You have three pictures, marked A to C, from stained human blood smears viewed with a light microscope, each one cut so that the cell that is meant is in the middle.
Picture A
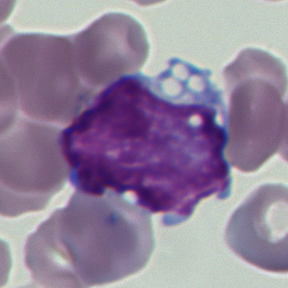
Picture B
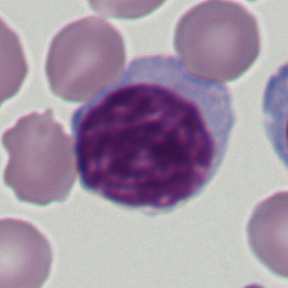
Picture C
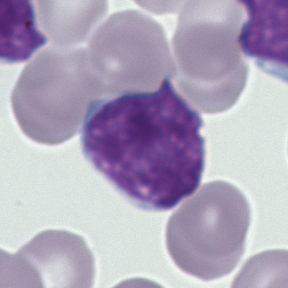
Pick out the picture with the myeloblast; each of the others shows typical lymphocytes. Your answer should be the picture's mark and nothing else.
A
